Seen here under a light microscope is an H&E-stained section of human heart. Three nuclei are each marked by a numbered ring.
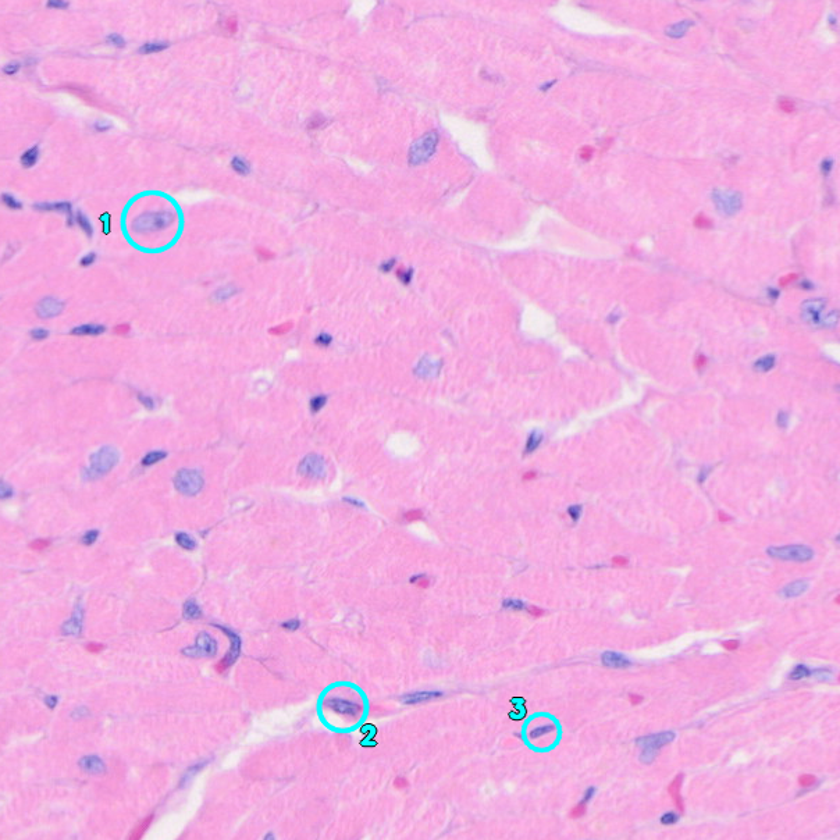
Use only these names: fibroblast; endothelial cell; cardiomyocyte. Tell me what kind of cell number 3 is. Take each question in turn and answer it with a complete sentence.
The nucleus labeled 3 belongs to a fibroblast.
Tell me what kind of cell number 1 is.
The cell numbered 1 represents a cardiomyocyte.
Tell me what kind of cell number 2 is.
Marked with the number 2, this cell is an endothelial cell.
